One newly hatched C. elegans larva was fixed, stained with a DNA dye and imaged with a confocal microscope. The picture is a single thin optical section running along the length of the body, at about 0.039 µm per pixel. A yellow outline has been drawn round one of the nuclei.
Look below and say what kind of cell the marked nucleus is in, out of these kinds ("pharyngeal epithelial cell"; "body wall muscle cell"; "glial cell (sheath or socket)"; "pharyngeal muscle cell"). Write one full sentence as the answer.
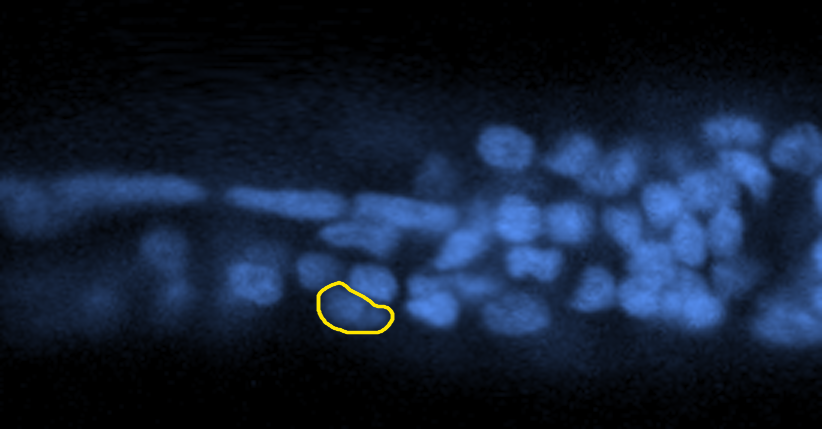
This nucleus is from a body wall muscle cell.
